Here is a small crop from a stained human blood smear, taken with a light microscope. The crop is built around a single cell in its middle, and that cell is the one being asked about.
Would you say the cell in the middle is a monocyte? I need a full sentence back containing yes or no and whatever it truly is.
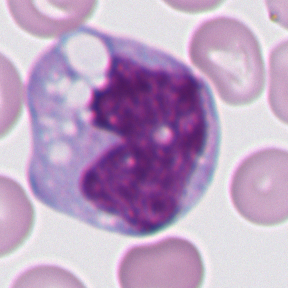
Yes, the cell here in the middle is a monocyte.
